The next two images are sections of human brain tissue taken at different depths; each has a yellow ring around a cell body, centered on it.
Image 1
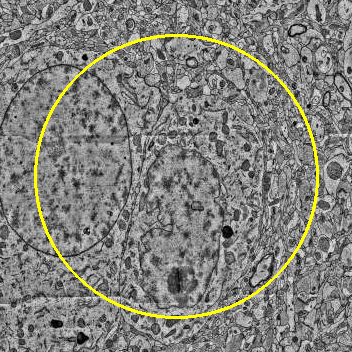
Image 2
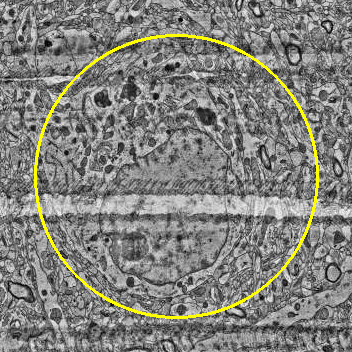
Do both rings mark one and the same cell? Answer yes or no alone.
no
